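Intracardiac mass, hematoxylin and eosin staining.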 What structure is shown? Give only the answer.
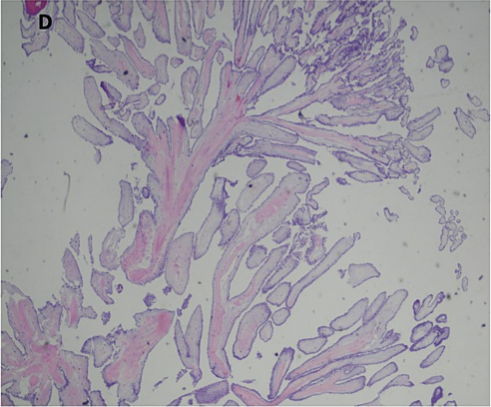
avascular papillary tissue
